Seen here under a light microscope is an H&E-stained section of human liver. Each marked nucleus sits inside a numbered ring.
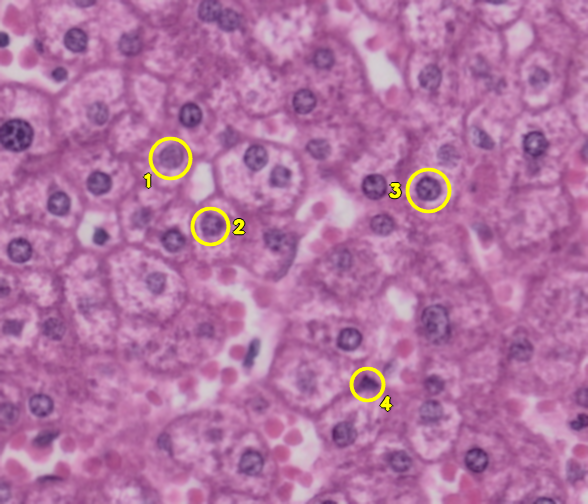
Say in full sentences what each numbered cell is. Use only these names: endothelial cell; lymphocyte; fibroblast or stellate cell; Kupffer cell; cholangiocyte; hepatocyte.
Cells 1, 2 and 3 are hepatocytes. Cell 4 is a fibroblast or stellate cell.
